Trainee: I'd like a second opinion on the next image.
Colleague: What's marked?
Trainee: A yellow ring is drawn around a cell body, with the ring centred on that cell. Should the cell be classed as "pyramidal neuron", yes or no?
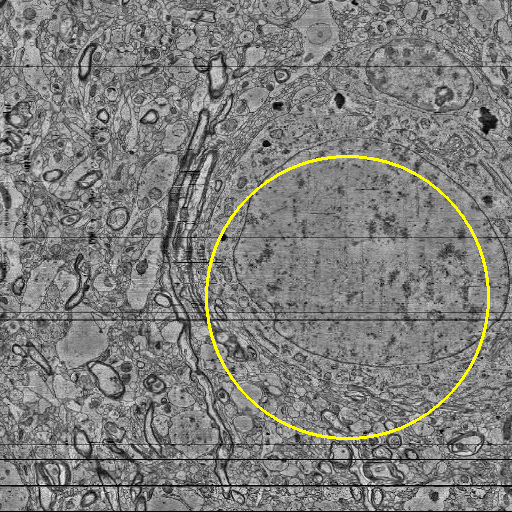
Yes, it should.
